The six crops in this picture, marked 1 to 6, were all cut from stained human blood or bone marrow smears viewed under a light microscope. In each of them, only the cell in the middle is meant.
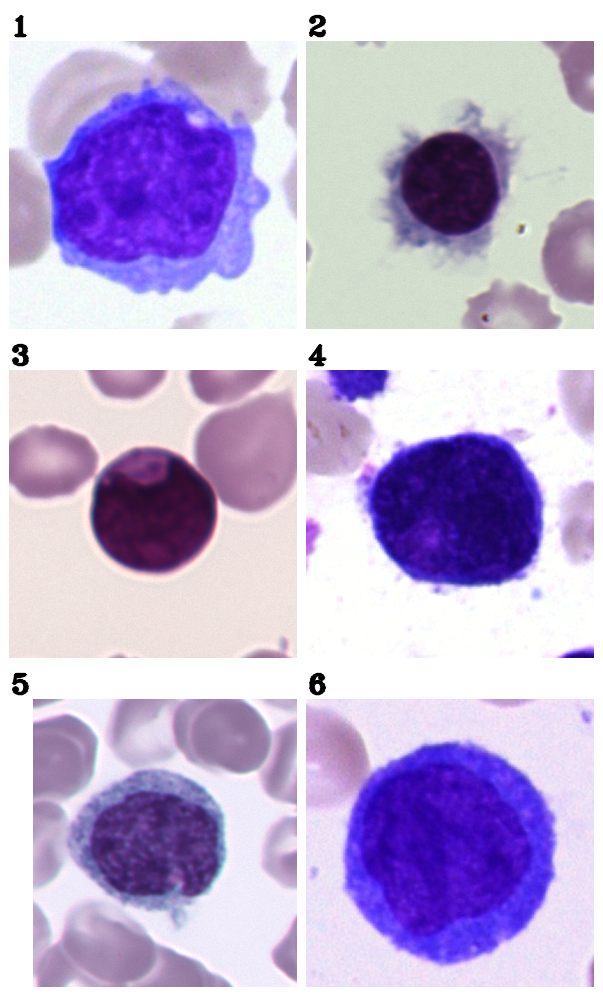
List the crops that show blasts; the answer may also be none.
1, 3, 4, 6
